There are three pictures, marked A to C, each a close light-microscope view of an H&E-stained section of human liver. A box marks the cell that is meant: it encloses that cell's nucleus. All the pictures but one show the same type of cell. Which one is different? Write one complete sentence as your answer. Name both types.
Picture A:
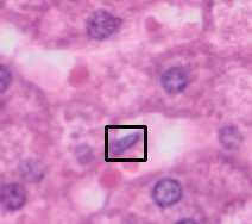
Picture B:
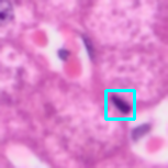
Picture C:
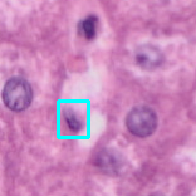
The different one is picture B; it shows a “fibroblast or stellate cell”, whereas all the others show Kupffer cells.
